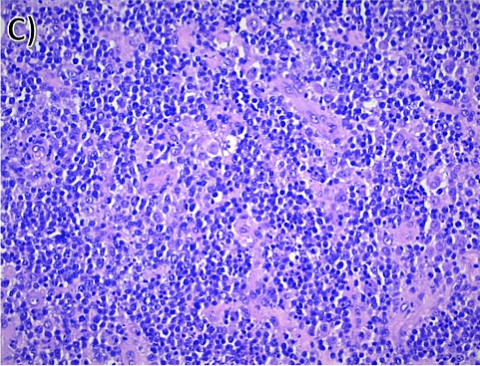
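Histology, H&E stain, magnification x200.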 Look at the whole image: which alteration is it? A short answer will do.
Diffuse monomorphic infiltrate of lymphoid cells separated by vascular proliferation.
